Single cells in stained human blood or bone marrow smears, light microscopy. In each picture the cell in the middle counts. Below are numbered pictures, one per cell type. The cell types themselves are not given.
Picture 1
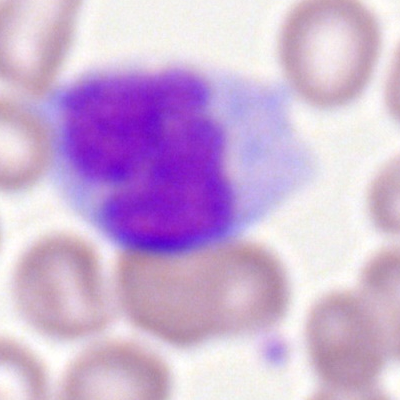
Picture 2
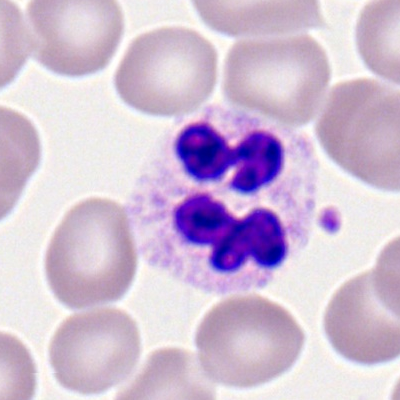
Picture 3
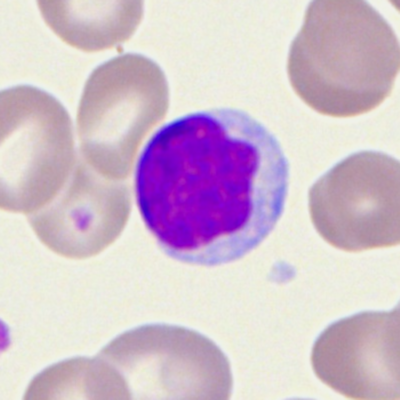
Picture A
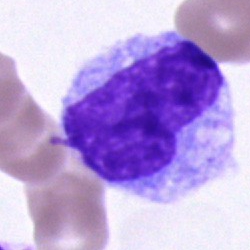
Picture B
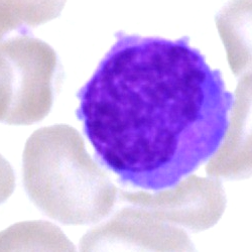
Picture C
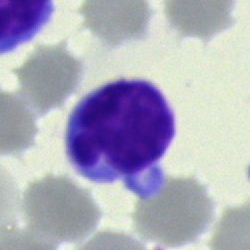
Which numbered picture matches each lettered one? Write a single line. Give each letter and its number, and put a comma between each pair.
A 1, B 1, C 3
